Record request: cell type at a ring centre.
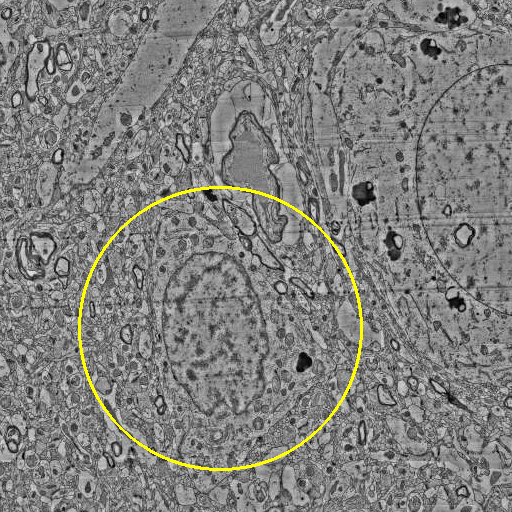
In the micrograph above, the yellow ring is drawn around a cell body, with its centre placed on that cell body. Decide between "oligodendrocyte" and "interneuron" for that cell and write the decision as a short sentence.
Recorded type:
The cell centred in the yellow ring is an interneuron.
